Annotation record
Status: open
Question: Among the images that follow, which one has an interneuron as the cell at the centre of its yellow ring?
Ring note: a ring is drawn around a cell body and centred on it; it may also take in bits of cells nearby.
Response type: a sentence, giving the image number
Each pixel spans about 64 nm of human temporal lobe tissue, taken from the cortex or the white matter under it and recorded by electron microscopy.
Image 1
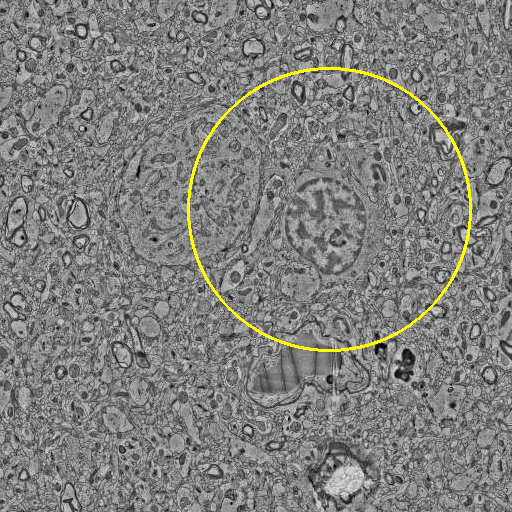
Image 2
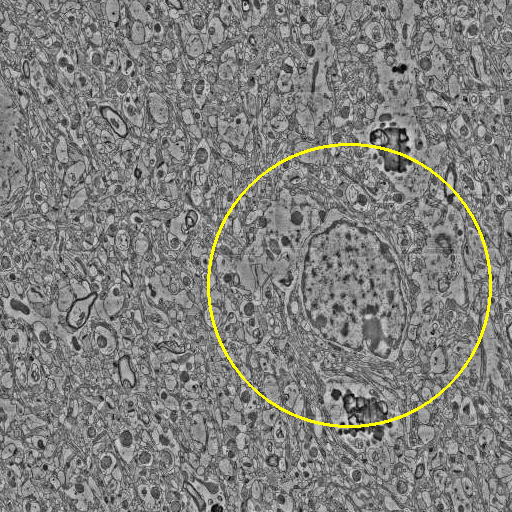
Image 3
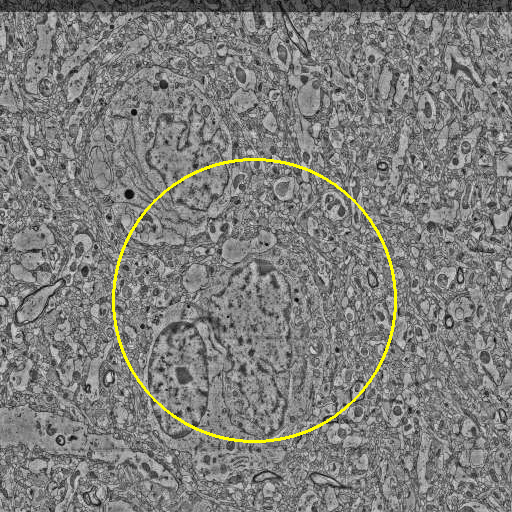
Image 3 shows it at the centre of its ring.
